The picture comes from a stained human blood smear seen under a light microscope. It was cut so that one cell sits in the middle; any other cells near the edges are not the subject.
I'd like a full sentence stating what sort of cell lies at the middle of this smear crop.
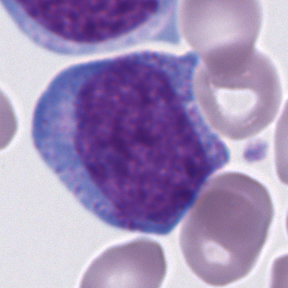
Whatever else lies nearby, the middle cell is a promyelocyte.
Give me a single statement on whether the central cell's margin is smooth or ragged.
Seen at its edge, the cell is not smooth but ragged or projecting.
